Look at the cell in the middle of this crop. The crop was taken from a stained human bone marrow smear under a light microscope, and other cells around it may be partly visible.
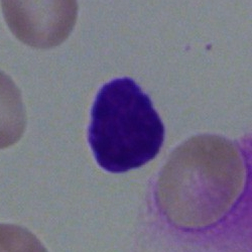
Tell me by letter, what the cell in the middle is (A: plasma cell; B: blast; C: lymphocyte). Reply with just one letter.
C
